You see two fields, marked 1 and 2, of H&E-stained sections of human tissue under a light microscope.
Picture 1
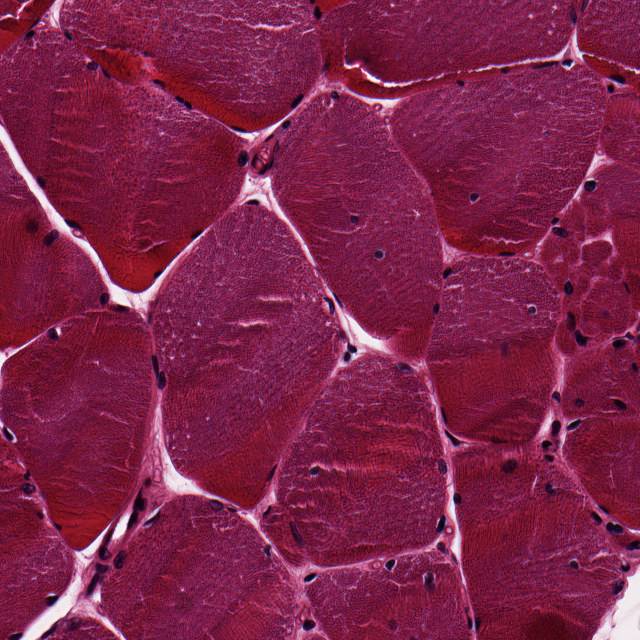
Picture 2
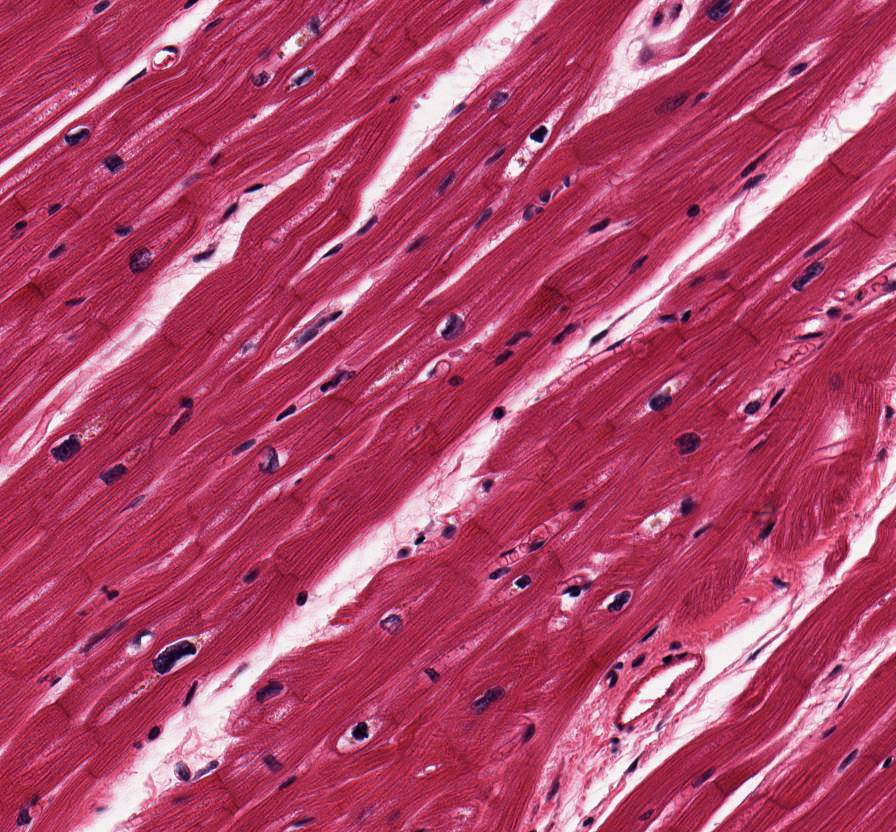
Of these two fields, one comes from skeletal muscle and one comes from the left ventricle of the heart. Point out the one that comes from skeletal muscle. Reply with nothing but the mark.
1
